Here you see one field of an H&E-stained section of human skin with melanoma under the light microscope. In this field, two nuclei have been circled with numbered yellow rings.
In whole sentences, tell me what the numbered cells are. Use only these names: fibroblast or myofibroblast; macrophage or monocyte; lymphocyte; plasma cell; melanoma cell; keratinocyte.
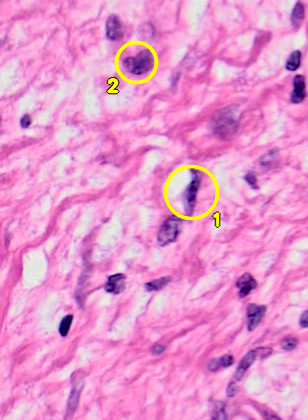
Cell 1 is a fibroblast or myofibroblast. Cell 2 is a macrophage or monocyte.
